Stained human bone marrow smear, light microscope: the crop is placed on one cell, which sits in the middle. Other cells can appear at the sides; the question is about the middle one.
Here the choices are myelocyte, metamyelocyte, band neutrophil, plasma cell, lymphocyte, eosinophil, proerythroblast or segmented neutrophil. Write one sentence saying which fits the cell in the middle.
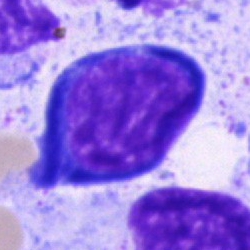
As for the central cell, it is a proerythroblast.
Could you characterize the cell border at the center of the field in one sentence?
Because its outline is ragged or drawn out into projections, the cell lacks a smooth border.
